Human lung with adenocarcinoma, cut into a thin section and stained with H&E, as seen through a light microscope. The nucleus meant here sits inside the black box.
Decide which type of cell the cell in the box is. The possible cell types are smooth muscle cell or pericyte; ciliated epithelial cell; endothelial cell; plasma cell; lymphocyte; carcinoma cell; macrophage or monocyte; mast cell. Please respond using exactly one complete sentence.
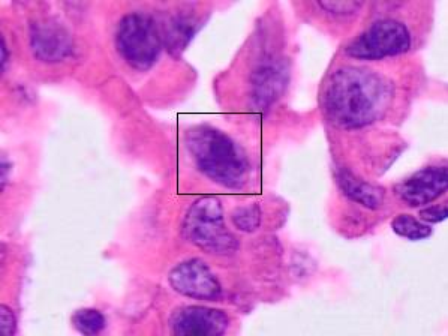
So far as cell type goes, the cell in the box is a carcinoma cell.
